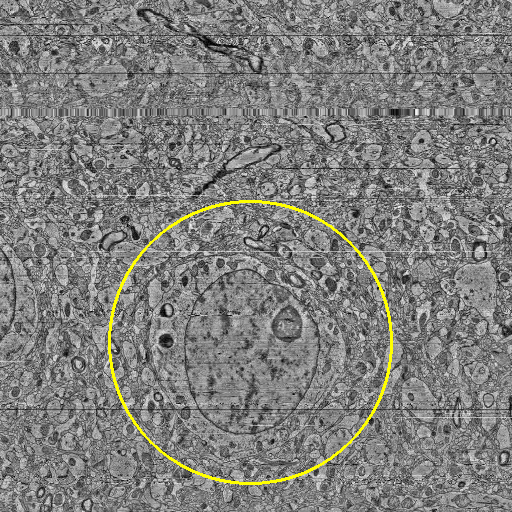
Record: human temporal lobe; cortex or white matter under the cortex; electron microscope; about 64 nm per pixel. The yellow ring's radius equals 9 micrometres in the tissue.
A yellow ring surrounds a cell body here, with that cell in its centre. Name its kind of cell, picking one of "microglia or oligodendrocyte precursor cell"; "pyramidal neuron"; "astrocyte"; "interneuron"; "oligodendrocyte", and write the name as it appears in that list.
pyramidal neuron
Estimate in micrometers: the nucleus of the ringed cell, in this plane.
About 11 by 9 micrometres in this plane.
